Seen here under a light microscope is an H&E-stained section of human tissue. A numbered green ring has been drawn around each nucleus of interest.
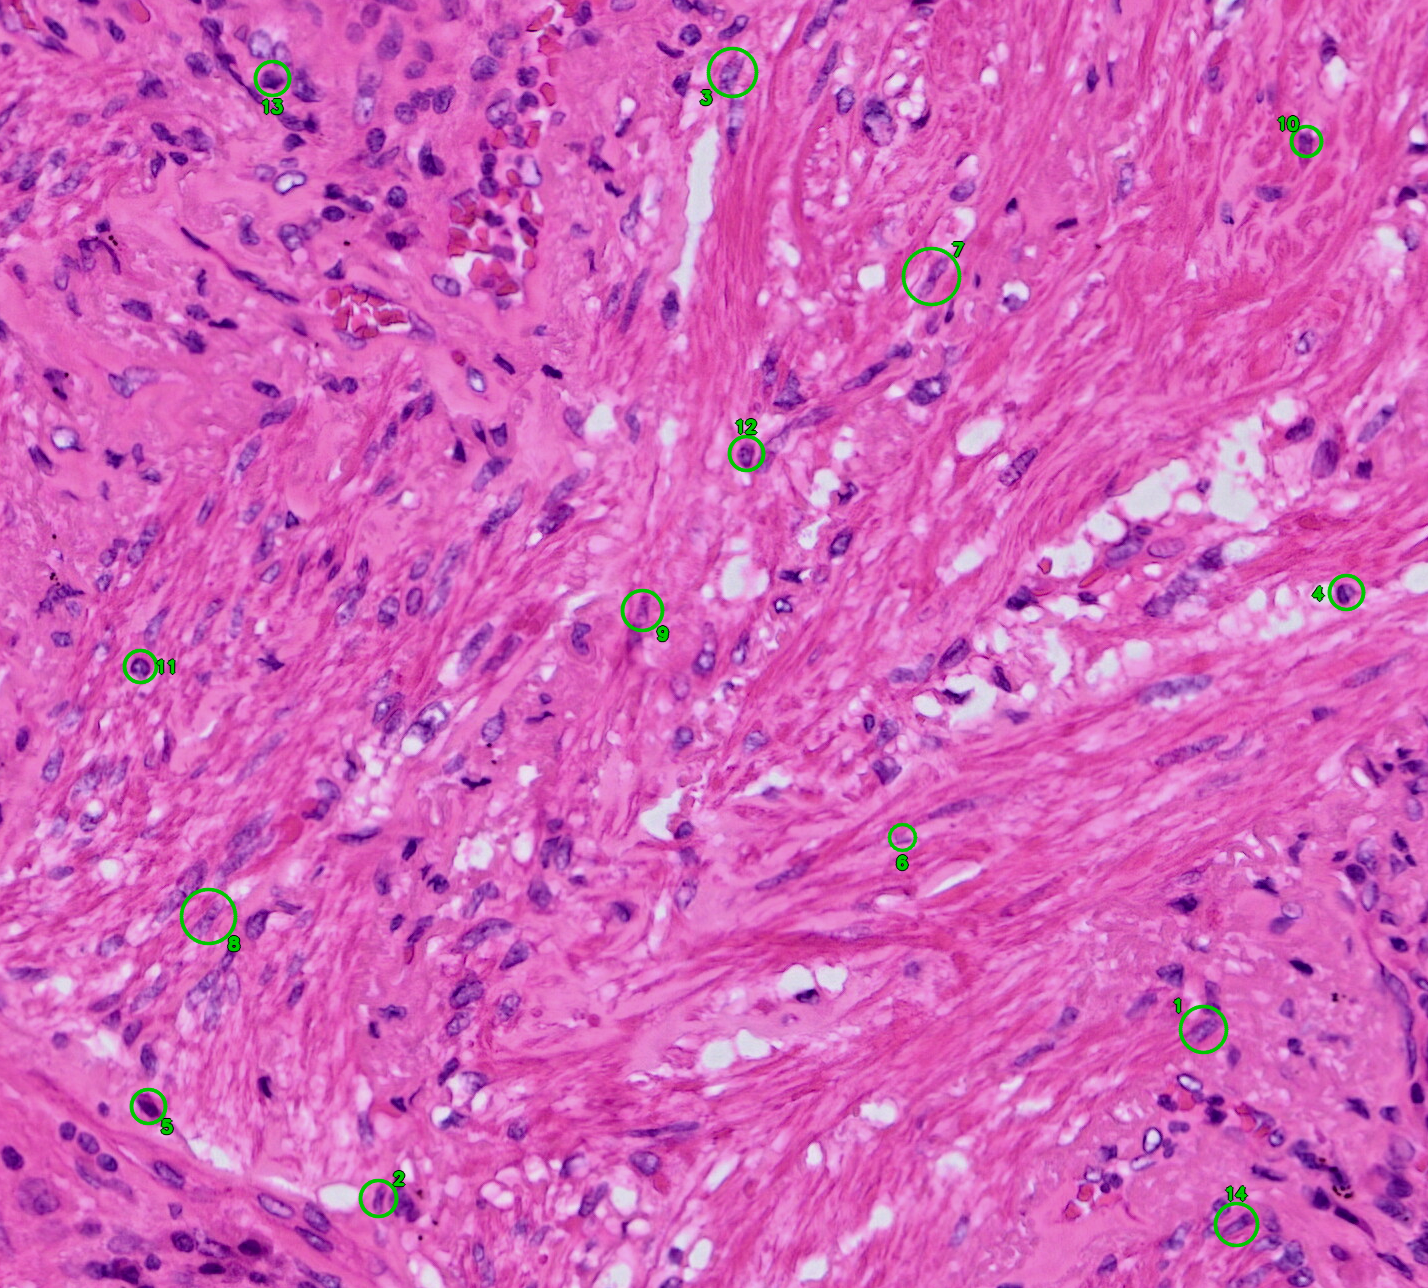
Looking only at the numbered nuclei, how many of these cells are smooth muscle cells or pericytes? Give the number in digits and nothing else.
8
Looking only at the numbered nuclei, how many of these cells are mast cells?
5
